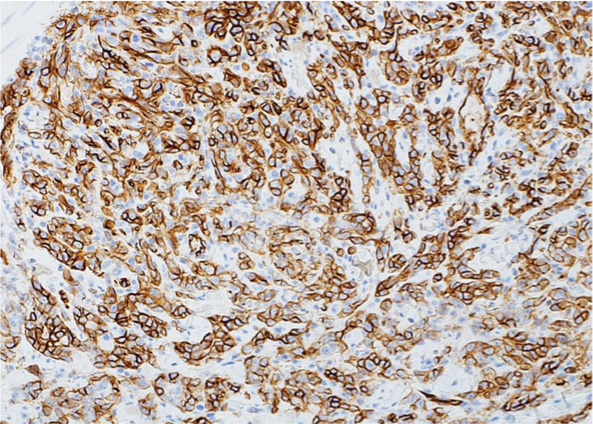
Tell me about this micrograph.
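Most tumor cells in this field carry a strong brown stain outlining their membranes, while their nuclei are counterstained pale blue. The stained cells are crowded into sheets and irregular cords, many angular or elongated, with thin pale spaces between them. The picture is of a diffusely positive cellular tumor, its cells outlined by the brown membrane stain.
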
